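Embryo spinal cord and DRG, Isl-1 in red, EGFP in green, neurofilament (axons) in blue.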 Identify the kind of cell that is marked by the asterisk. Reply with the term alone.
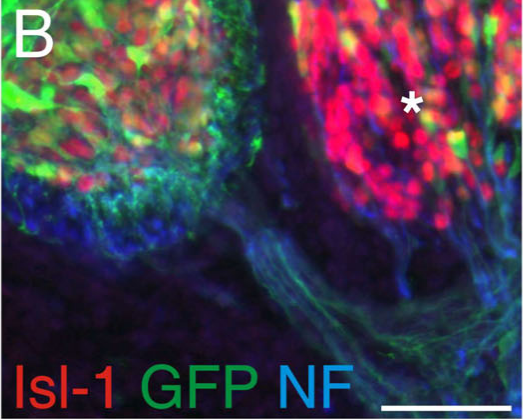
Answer: sensory neurons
